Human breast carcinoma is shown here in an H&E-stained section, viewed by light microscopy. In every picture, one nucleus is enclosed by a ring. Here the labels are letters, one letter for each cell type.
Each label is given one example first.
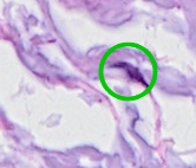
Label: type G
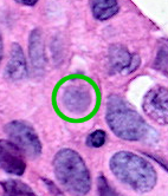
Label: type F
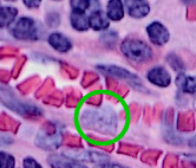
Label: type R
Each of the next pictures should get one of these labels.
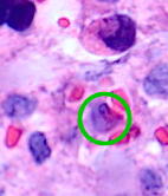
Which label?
type R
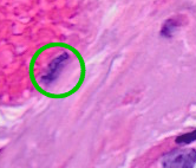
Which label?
type R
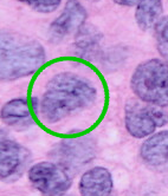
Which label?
type F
